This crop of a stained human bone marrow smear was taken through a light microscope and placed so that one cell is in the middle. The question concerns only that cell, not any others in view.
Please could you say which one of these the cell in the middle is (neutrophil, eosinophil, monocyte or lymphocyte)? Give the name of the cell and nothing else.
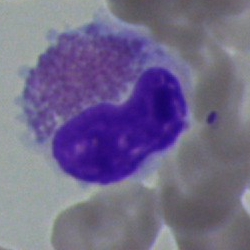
eosinophil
